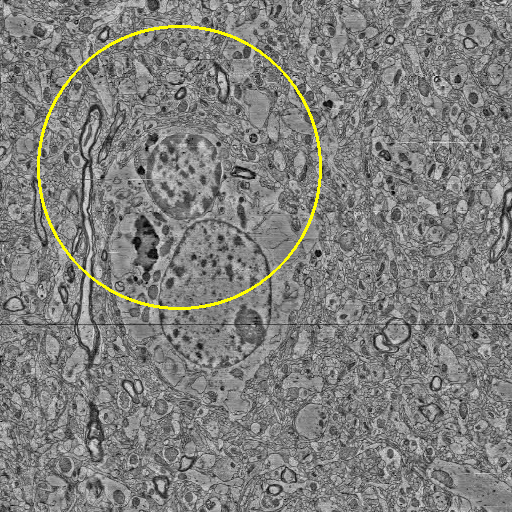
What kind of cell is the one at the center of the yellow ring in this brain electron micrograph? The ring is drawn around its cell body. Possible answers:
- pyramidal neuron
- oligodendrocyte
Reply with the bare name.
oligodendrocyte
